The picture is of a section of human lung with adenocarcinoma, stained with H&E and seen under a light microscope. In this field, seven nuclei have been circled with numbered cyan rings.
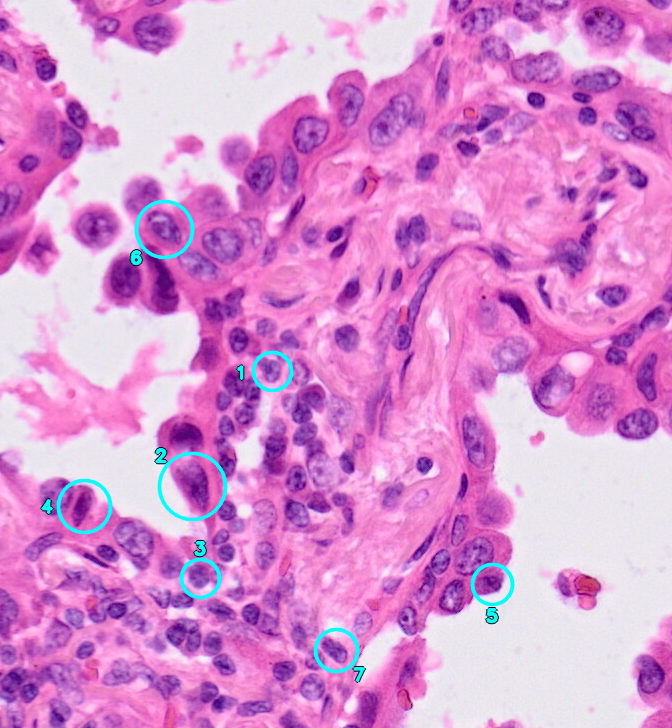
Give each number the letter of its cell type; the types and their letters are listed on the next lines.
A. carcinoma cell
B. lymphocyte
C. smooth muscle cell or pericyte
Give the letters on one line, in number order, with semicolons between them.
B; A; B; A; A; A; B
